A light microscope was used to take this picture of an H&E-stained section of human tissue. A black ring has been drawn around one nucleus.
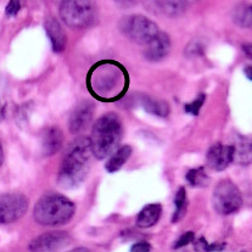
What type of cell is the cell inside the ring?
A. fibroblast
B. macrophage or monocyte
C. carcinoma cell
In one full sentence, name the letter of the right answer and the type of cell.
The correct response is option C: the cell inside the ring is a carcinoma cell.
